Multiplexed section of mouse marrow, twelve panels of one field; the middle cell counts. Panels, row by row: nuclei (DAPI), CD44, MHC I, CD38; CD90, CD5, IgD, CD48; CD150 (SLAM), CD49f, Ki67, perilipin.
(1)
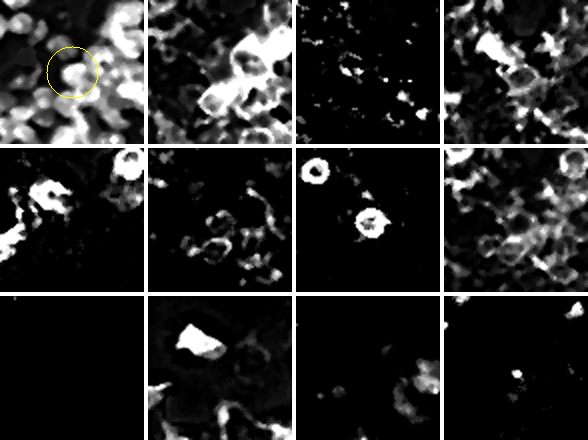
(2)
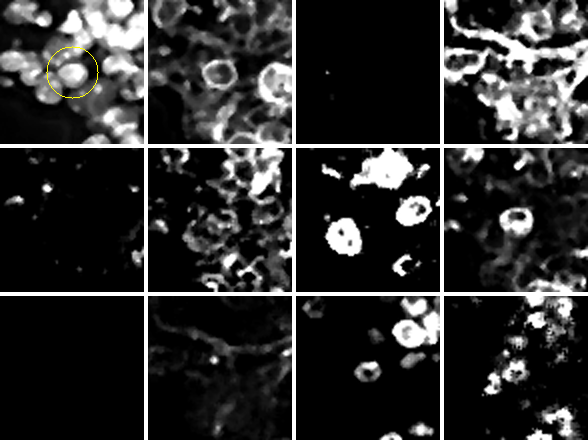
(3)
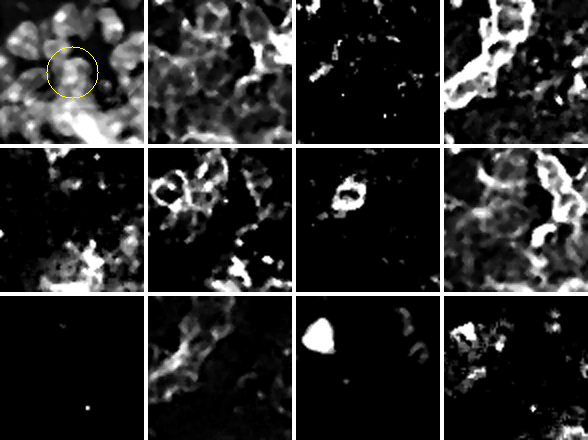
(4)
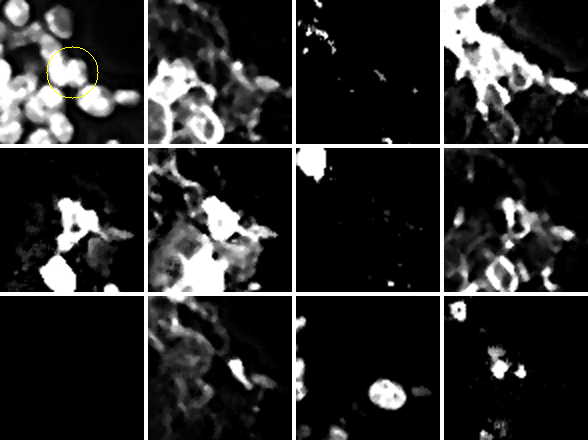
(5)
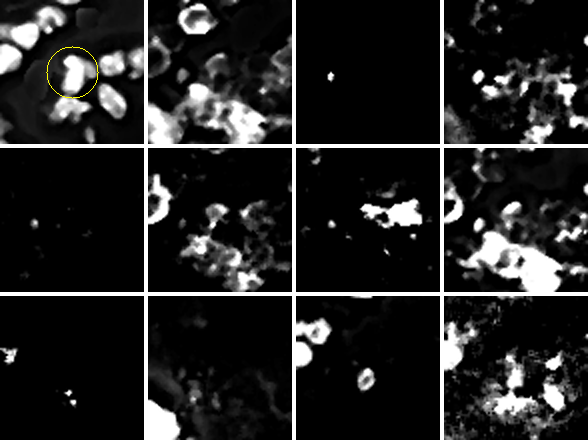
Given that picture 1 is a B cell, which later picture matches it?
5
